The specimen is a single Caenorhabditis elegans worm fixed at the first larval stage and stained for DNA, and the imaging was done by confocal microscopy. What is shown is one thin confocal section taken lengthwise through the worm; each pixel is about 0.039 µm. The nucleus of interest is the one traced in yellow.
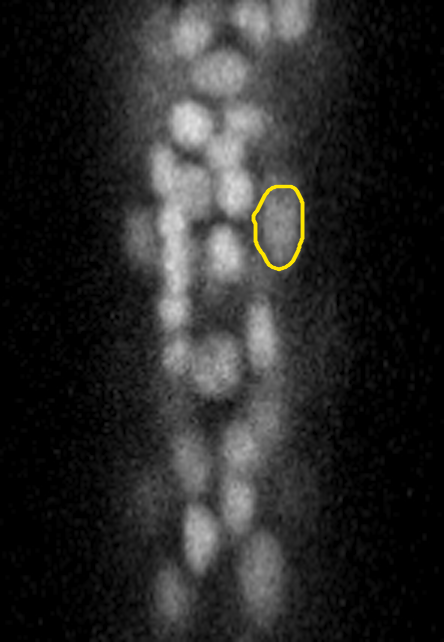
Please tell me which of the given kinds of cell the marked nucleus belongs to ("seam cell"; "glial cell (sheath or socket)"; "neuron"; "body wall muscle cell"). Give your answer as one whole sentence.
The marked cell is a body wall muscle cell.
